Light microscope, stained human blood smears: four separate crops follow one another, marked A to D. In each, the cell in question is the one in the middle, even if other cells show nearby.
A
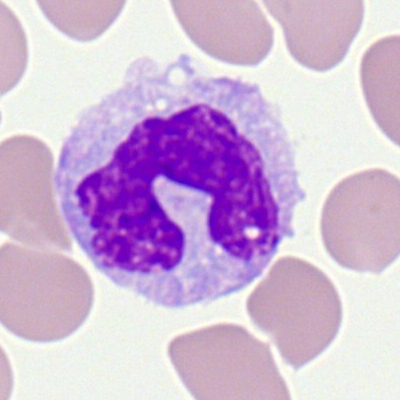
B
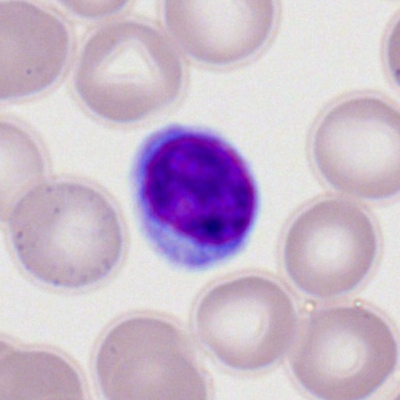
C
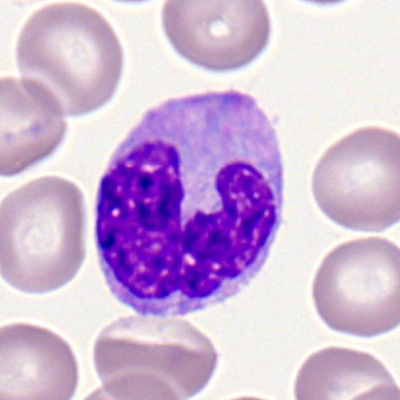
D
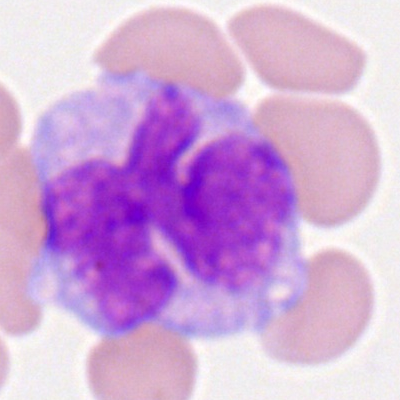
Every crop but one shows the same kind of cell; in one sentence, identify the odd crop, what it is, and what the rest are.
Crop B shows a lymphocyte; by contrast, all the other crops show monocytes.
